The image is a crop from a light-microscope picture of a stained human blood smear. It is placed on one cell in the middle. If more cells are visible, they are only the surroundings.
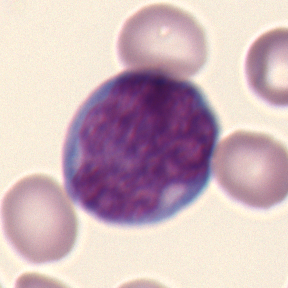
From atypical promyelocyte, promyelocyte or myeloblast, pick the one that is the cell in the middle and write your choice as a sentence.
In the middle of this smear crop, the cell is a myeloblast.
